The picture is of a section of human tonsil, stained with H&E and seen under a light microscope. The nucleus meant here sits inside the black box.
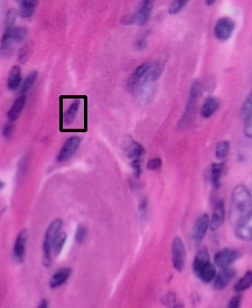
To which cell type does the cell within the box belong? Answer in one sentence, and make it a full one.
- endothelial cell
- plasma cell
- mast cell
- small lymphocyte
In the tissue at hand, the cell within the box is a mast cell.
